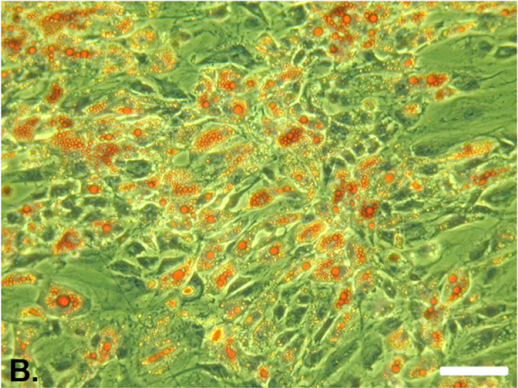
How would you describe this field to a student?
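These are cultured cells turning into adipocytes, many of them now rounded or polygonal rather than spindle-shaped. Their cytoplasm is packed with round red-stained lipid droplets of varying size, some large and single, others small and clustered. Between them lie flatter cells with few or no droplets.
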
